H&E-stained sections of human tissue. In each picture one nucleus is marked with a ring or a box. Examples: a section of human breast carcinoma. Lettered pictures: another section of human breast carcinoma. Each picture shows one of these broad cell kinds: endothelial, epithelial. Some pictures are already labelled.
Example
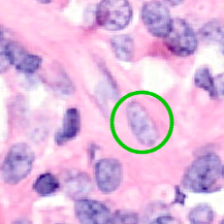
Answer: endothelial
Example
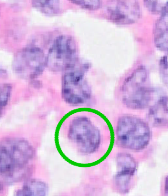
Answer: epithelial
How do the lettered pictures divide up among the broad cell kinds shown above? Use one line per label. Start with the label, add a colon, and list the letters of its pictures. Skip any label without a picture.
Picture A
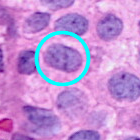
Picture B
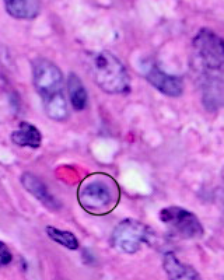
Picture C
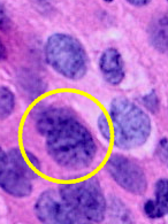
endothelial: B
epithelial: A, C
